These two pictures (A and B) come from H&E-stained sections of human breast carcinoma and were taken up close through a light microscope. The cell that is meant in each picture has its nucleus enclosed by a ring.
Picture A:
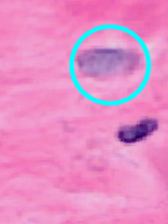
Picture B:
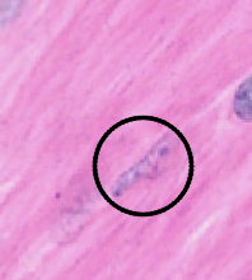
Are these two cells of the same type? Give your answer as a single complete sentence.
Yes, they are the same type: both are fibroblasts.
